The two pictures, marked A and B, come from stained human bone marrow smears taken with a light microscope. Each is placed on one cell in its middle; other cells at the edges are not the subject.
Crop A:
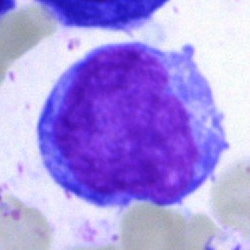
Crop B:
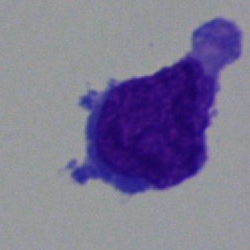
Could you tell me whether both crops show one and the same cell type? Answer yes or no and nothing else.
yes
